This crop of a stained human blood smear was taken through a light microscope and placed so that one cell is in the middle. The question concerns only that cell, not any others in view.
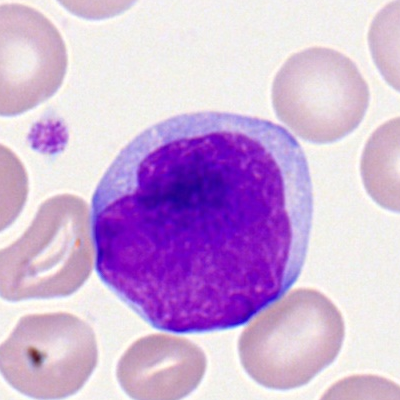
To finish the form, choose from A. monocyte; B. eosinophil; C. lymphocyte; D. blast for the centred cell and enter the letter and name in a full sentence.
The correct choice is option D, which identifies the middle cell as a blast.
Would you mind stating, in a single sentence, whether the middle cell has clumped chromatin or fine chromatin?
No coarse chromatin clumps are present; the pattern is fine.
